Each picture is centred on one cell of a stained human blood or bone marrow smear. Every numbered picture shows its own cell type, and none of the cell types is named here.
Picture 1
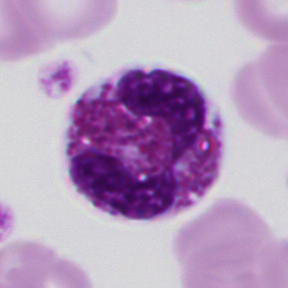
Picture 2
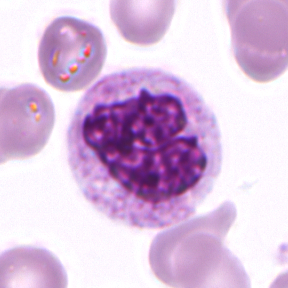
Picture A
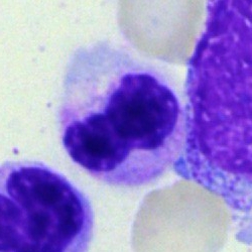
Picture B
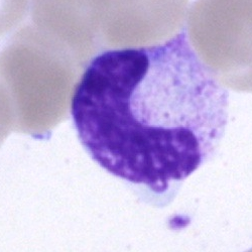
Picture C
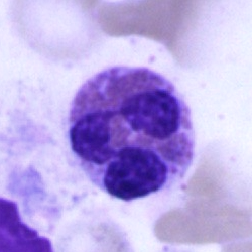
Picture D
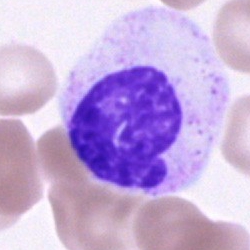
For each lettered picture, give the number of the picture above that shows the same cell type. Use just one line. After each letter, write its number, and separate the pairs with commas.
A 2, B 2, C 1, D 2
